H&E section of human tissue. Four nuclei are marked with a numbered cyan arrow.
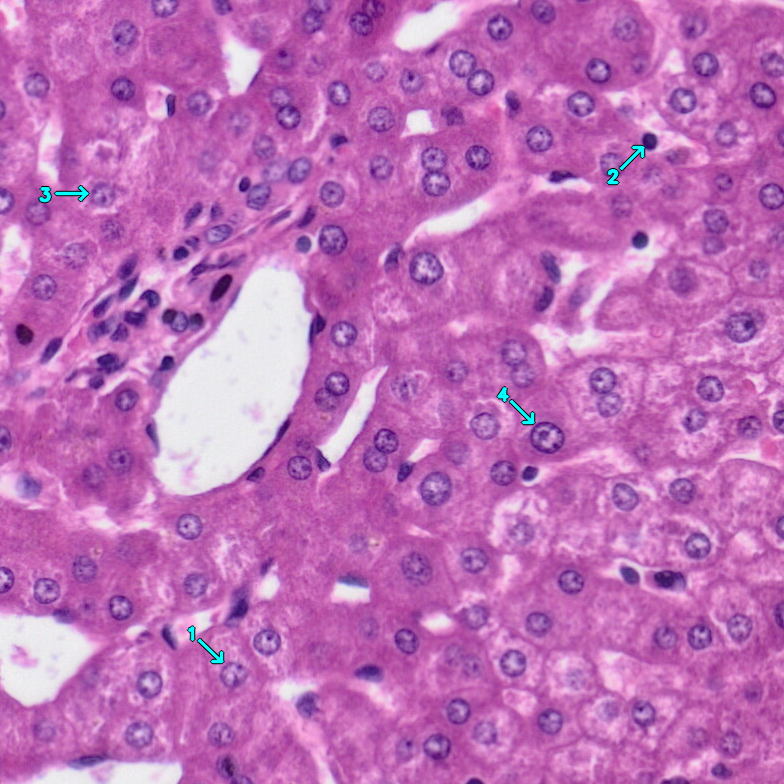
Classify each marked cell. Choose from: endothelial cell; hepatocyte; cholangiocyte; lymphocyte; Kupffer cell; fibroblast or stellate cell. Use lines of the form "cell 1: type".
cell 1: hepatocyte
cell 2: lymphocyte
cell 3: hepatocyte
cell 4: hepatocyte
